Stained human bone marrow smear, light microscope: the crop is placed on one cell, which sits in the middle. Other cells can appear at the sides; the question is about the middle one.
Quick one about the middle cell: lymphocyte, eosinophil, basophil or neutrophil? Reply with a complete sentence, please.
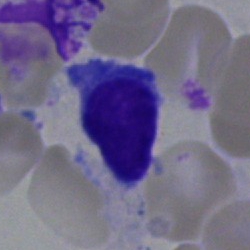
The centrally positioned cell in the crop represents a lymphocyte.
